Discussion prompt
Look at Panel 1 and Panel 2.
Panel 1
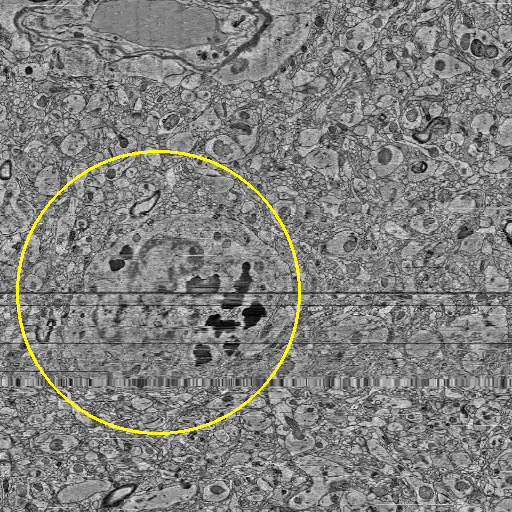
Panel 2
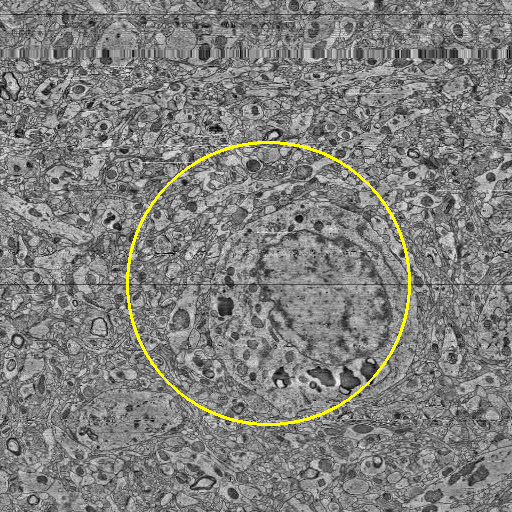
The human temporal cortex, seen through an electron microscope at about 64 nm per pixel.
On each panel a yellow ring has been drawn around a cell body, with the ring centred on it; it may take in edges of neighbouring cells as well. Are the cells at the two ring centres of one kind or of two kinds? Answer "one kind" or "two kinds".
one kind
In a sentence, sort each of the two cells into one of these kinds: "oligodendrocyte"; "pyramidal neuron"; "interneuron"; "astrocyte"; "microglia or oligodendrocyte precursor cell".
Each cell at the centre of a ring is an interneuron.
